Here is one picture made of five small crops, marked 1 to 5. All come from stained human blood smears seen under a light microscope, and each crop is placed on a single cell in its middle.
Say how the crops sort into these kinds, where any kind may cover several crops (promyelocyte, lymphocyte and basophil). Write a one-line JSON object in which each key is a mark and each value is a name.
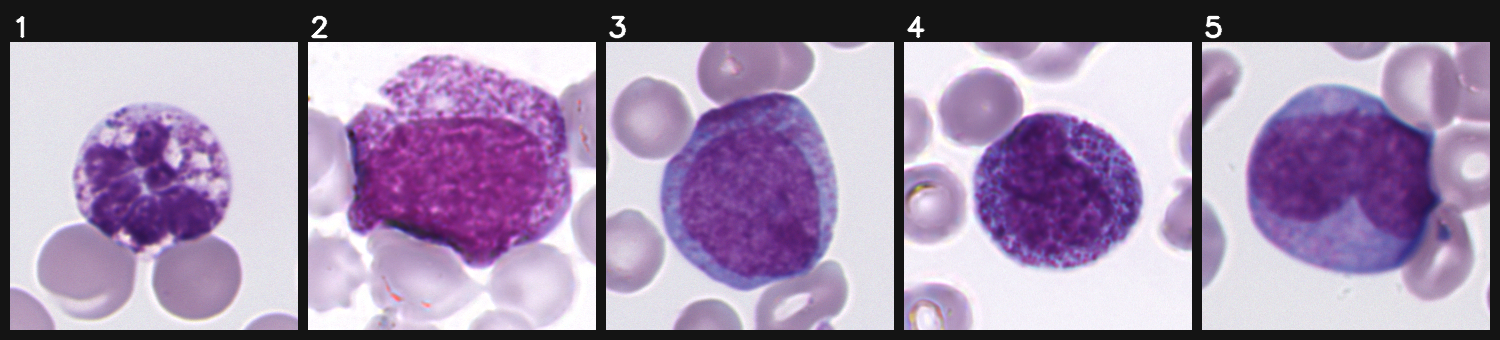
{"1": "basophil", "2": "promyelocyte", "3": "promyelocyte", "4": "promyelocyte", "5": "promyelocyte"}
